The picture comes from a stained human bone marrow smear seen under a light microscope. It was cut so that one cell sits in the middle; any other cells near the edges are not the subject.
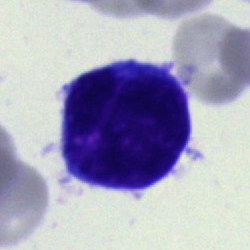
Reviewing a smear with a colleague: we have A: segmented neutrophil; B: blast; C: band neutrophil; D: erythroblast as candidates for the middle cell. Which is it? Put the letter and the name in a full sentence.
Option B is the keyed answer: the cell in the middle is a blast.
